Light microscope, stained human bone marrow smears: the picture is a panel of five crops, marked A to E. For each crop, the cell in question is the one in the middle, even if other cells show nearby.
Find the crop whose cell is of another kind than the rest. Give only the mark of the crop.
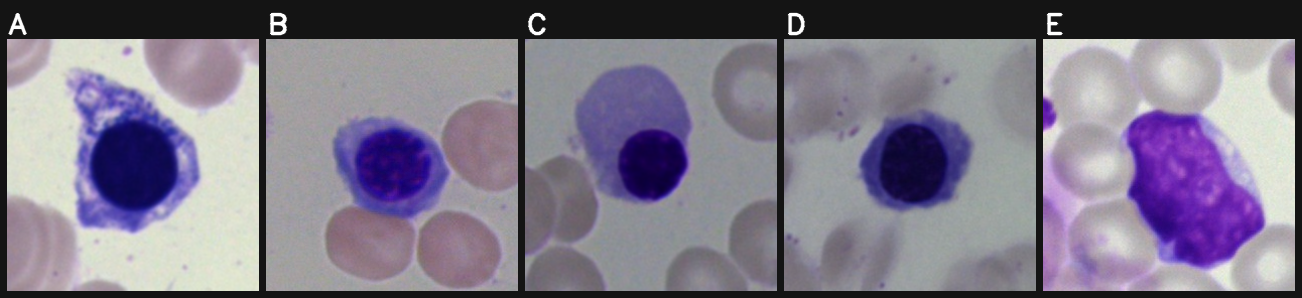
E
